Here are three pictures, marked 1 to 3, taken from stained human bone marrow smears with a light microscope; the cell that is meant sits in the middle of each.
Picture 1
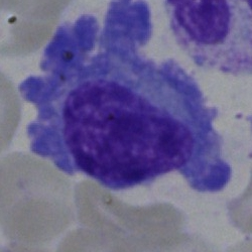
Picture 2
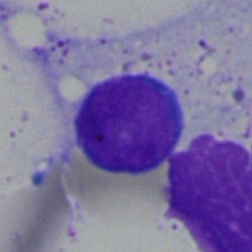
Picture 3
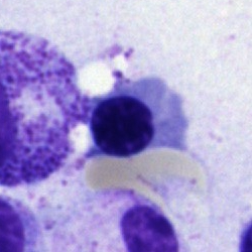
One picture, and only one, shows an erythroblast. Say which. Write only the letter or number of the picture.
3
